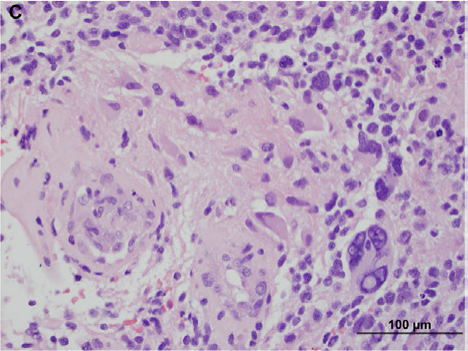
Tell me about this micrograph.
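Here a crowded tumor surrounds abnormal blood vessels: toward the left lies a rounded, tufted vascular structure lined by several layers of plump cells, set within pale pink, thickened walls and stroma, resembling a small tangle rather than a thin-walled capillary. Around it the tumor cells are tightly packed, with pleomorphic, hyperchromatic nuclei, and scattered large cells with multiple dark nuclei sit at the right edge. A few red blood cells lie near the vessels at the lower left.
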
